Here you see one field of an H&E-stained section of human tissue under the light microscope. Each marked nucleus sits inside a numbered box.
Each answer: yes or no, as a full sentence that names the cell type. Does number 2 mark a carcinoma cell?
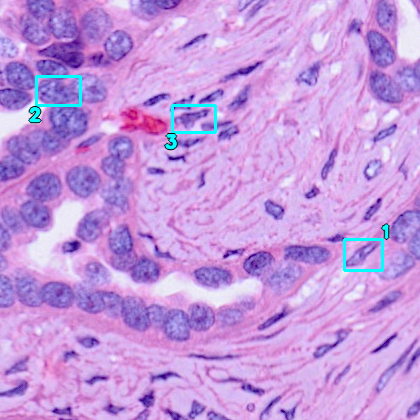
Yes, the cell pointed out as number 2 is a carcinoma cell.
